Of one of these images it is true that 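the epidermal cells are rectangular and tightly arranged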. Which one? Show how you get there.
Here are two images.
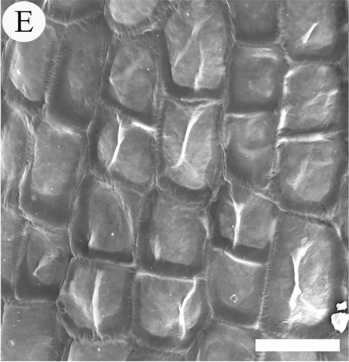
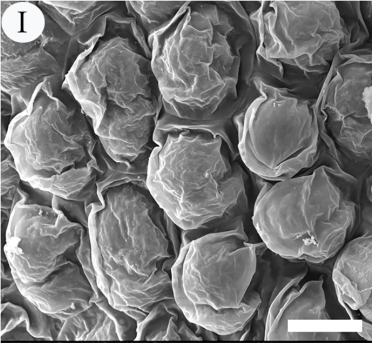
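Second image: rounded bulging cells with gaps between them. First image: flat rectangular cells in tight regular rows.
Conclusion: the first image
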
